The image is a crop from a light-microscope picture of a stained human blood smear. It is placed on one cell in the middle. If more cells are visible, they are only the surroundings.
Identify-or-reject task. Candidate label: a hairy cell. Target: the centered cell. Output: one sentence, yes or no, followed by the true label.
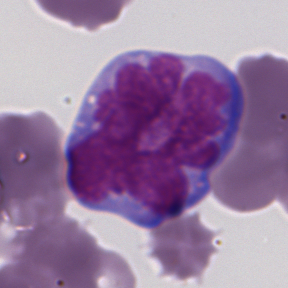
No, the cell occupying the centre is a myeloblast, not a hairy cell.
